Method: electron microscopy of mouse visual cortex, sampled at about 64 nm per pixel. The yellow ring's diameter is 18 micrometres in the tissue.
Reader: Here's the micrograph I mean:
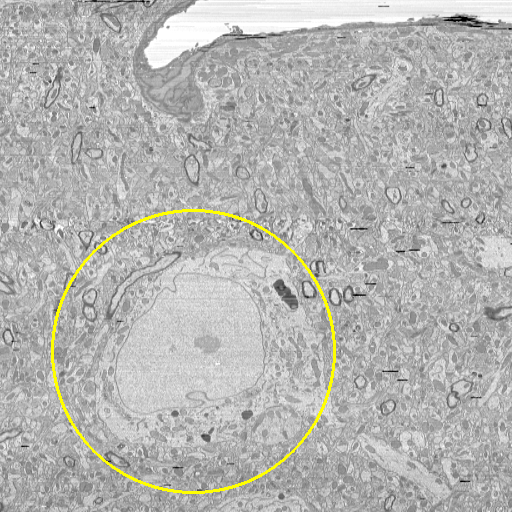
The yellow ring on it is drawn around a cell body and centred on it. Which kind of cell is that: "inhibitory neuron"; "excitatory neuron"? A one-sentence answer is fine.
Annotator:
The ring is centred on an excitatory neuron.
